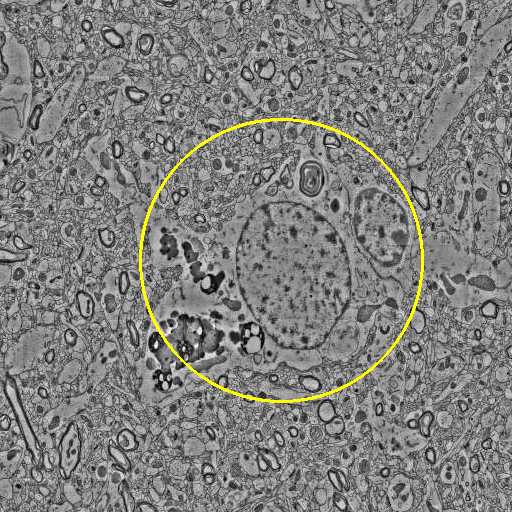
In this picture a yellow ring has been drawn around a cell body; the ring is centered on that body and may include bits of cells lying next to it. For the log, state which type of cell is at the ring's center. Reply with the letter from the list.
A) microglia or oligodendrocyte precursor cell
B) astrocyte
B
